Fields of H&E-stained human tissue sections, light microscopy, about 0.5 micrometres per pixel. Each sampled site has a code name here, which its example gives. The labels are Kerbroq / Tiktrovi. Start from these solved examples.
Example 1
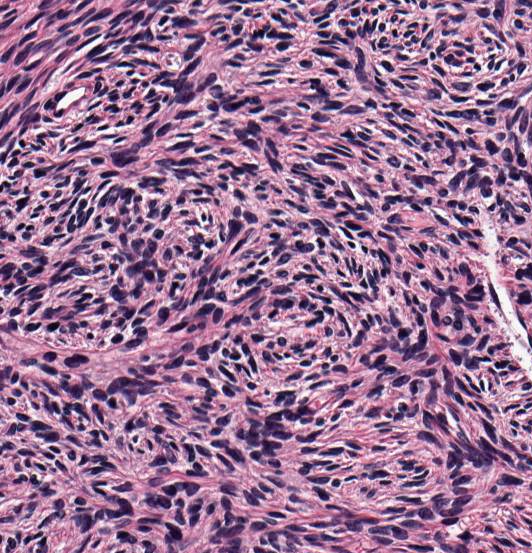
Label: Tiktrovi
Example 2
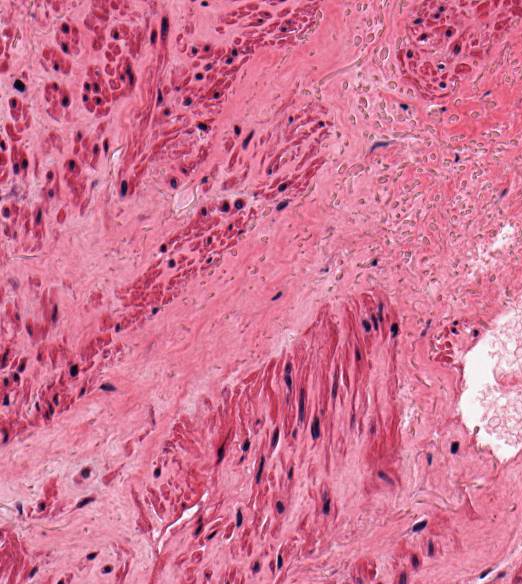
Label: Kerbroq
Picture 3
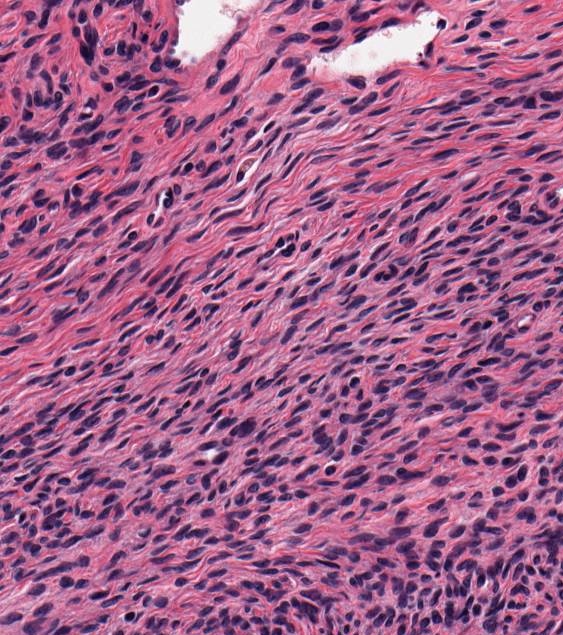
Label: Tiktrovi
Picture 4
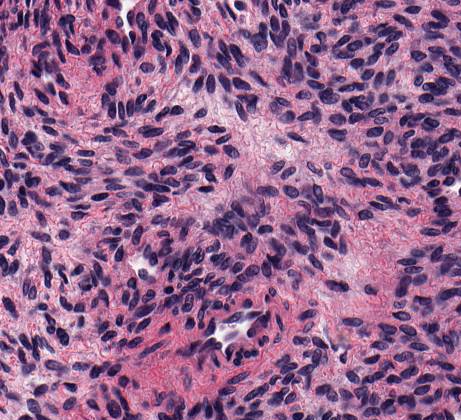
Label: Tiktrovi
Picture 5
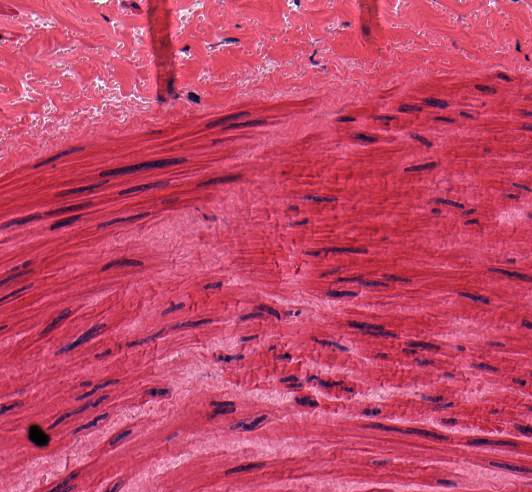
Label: Kerbroq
